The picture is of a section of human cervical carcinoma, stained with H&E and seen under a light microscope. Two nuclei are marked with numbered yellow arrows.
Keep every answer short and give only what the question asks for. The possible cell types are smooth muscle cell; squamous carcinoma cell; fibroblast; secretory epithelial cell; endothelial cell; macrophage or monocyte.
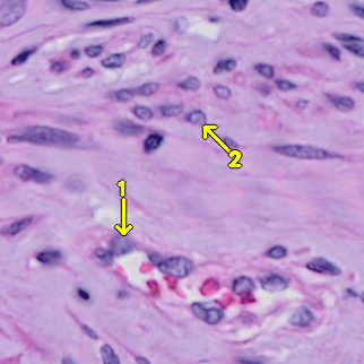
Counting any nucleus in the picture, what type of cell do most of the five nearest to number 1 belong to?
endothelial cell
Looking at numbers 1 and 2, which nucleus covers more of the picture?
1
